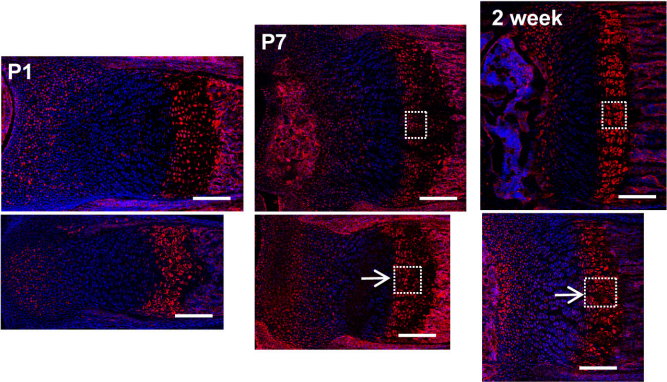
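Longitudinal sections of long bone growth plates, with cartilage spanning from the epiphyseal end to the metaphyseal bone. Small, densely packed chondrocytes with blue nuclei fill the resting end, then give way to cells stacked in columns. Toward the bone end a broad band of enlarged chondrocytes lies in the lacunae and is strongly red. Beyond it lies trabecular bone of the metaphysis.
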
